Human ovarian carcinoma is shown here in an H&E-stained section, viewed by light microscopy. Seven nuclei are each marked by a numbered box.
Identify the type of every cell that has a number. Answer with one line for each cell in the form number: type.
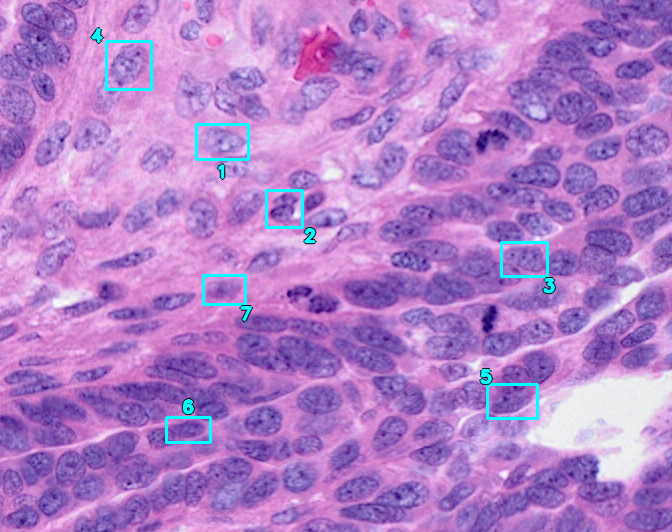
1: fibroblast
2: macrophage or monocyte
3: carcinoma cell
4: fibroblast
5: carcinoma cell
6: carcinoma cell
7: fibroblast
